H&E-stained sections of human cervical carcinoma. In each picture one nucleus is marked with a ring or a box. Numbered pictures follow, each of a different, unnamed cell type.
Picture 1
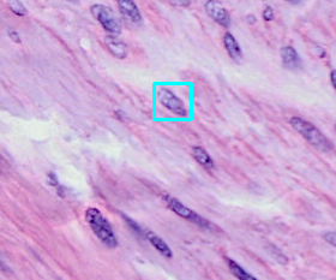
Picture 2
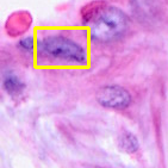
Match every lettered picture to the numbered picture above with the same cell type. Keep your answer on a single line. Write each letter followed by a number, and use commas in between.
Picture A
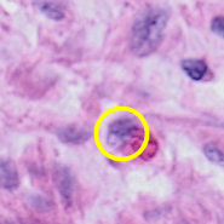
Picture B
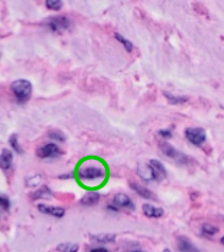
A 2, B 2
